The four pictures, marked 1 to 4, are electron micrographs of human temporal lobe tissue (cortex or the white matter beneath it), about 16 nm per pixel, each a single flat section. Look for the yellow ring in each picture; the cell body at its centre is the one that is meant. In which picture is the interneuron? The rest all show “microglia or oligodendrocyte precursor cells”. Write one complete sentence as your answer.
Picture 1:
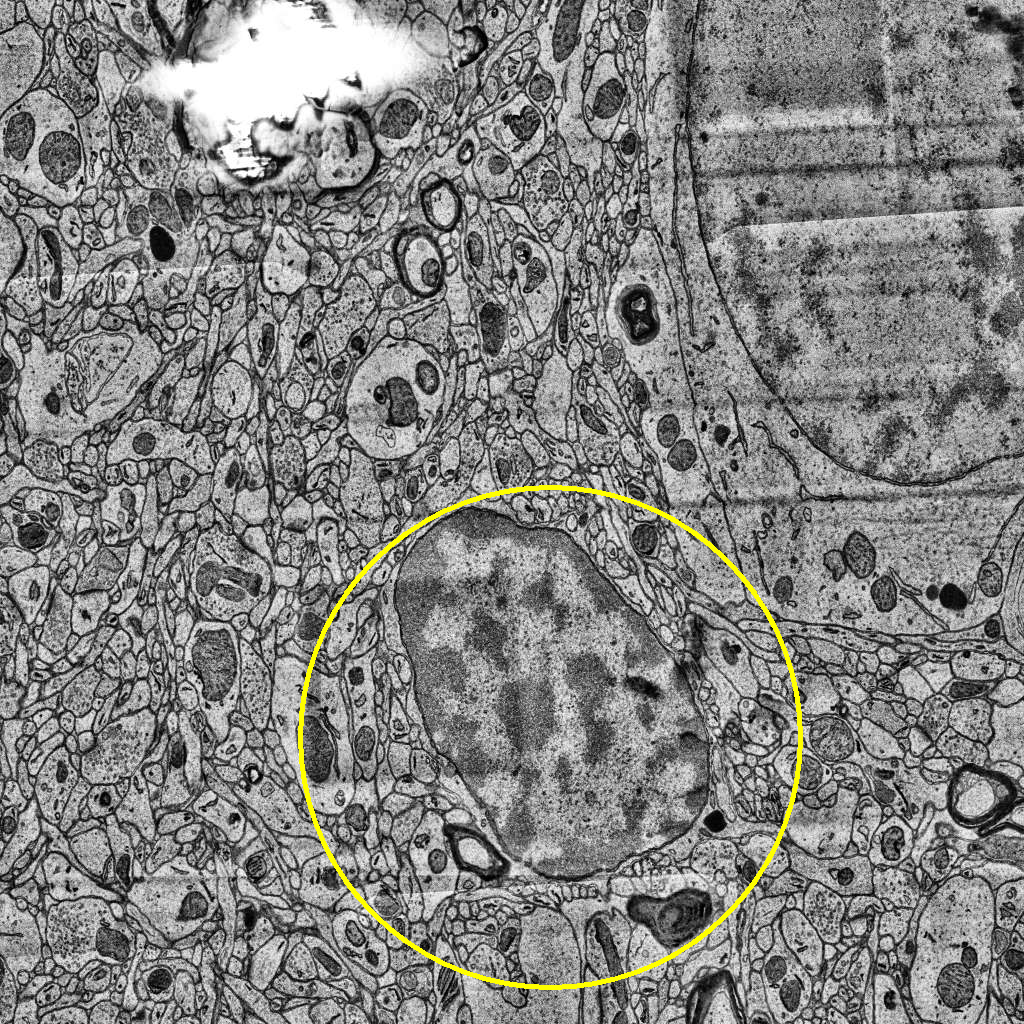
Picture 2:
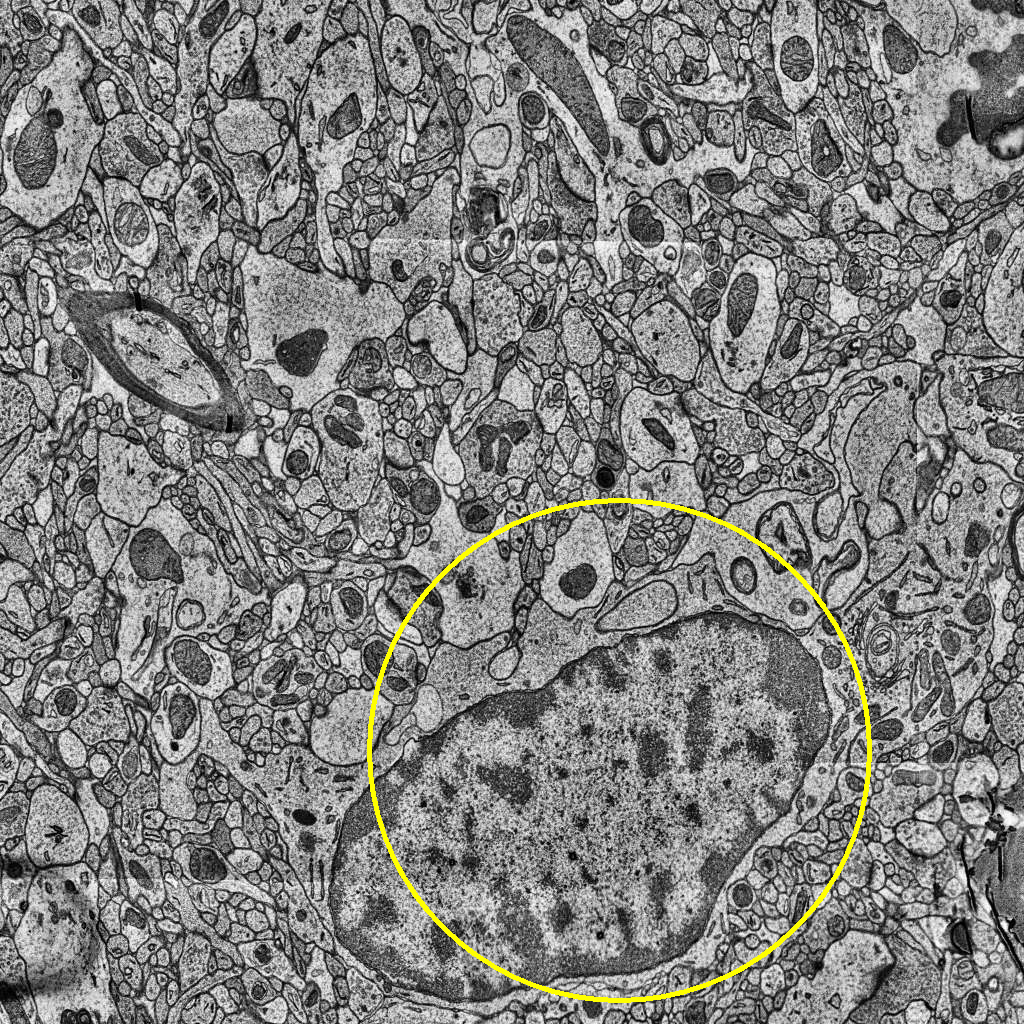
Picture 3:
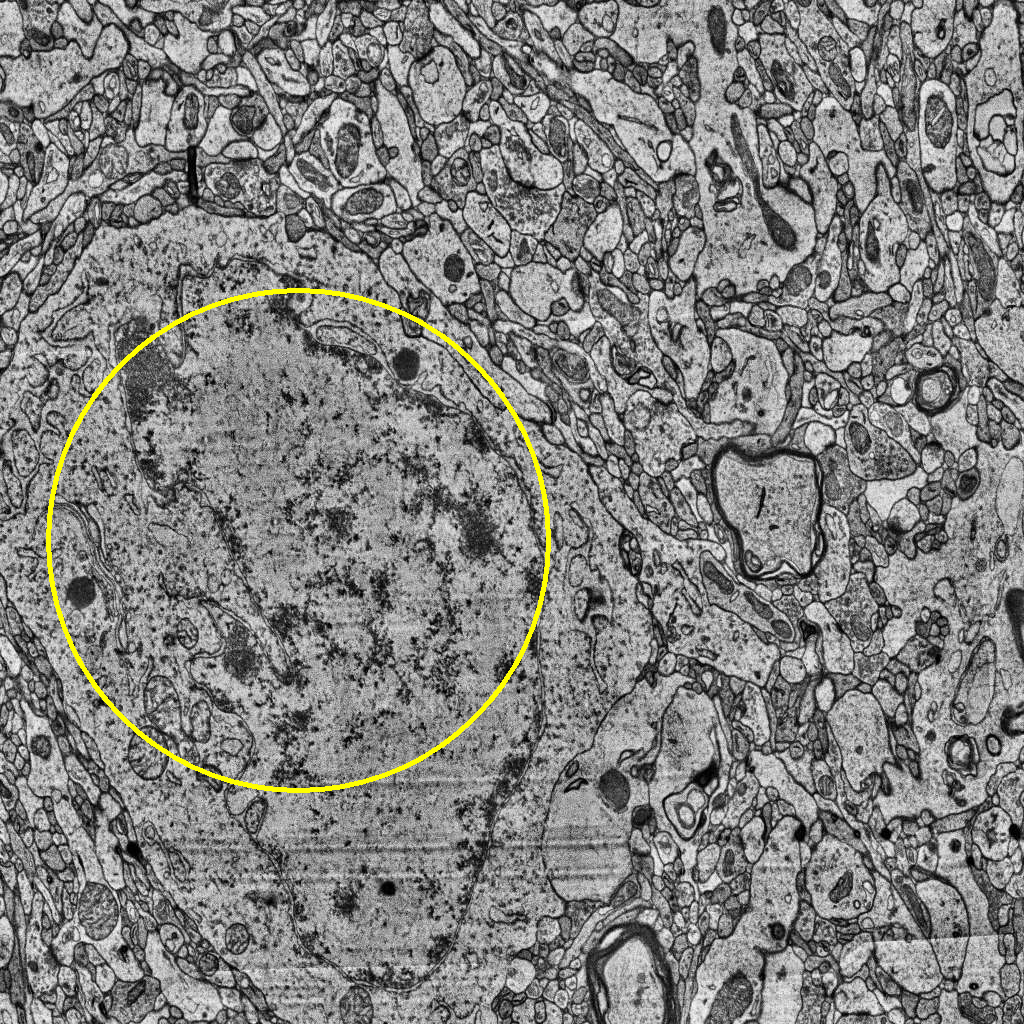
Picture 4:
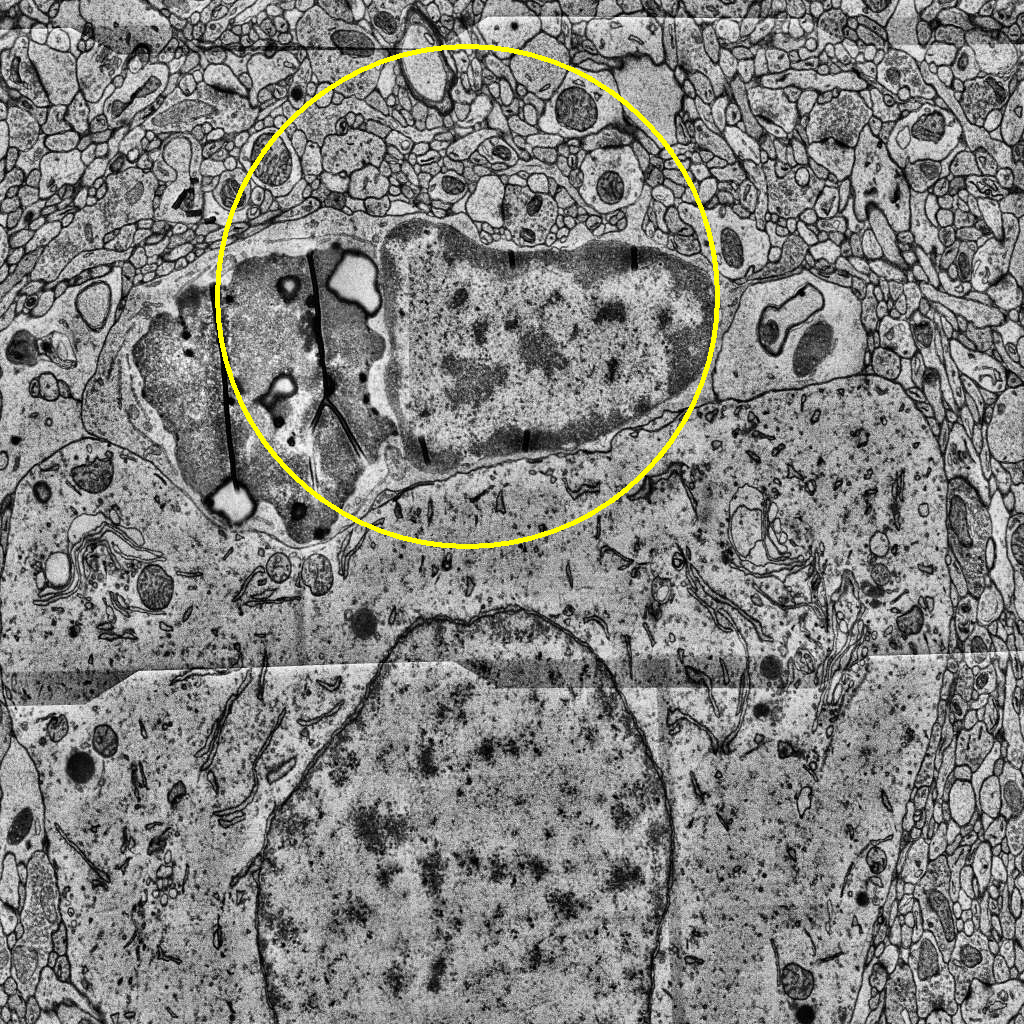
The interneuron is the one in picture 3.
